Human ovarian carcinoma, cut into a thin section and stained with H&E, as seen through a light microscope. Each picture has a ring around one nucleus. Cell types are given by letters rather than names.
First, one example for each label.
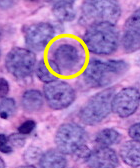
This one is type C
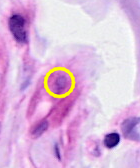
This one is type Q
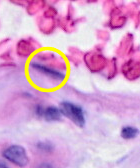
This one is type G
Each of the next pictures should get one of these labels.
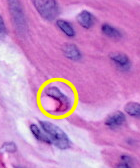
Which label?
type G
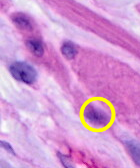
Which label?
type Q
